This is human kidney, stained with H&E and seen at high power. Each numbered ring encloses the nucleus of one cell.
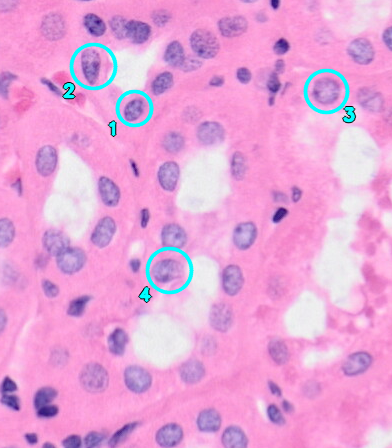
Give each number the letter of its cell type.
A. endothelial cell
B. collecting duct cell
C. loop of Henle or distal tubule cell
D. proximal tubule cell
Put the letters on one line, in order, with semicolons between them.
B; B; D; C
